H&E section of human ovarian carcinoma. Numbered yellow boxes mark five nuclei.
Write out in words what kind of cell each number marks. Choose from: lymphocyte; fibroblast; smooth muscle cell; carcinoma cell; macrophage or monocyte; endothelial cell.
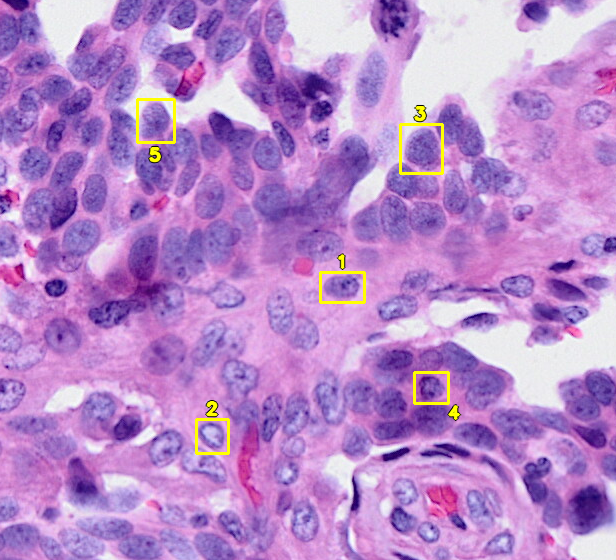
Cells 1 and 4 are macrophages or monocytes. Cell 2 is a fibroblast. Cells 3 and 5 are carcinoma cells.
